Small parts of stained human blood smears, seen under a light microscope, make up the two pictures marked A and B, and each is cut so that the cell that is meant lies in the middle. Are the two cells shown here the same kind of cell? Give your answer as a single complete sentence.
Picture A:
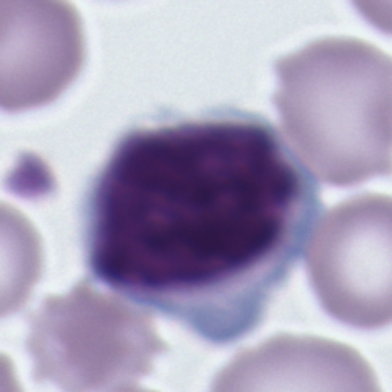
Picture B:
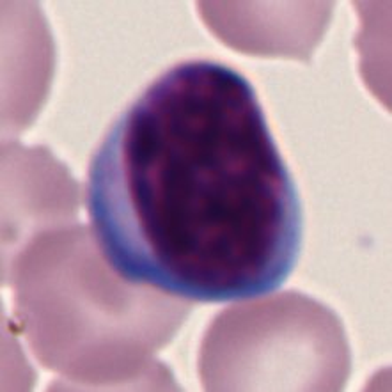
Yes, they are the same type: both are typical lymphocytes.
